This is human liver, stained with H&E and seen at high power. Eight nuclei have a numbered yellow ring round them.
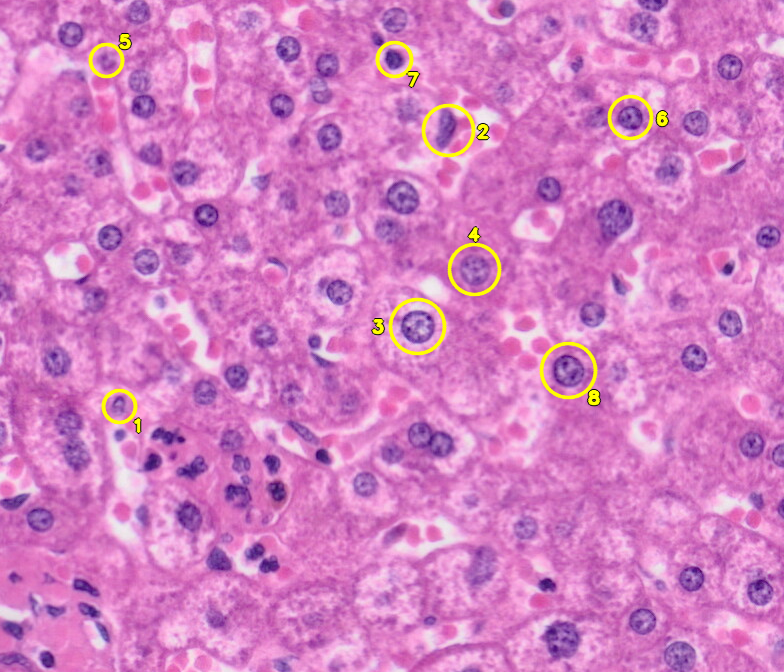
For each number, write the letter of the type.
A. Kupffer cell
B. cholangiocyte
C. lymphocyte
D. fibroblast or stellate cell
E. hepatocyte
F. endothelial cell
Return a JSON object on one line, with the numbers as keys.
{"1": "A", "2": "A", "3": "E", "4": "E", "5": "E", "6": "E", "7": "C", "8": "E"}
